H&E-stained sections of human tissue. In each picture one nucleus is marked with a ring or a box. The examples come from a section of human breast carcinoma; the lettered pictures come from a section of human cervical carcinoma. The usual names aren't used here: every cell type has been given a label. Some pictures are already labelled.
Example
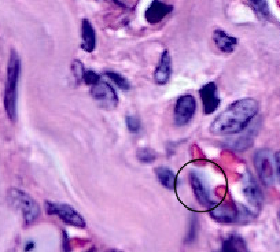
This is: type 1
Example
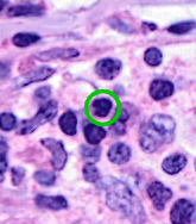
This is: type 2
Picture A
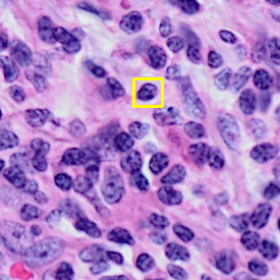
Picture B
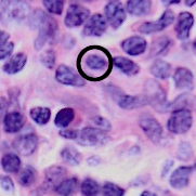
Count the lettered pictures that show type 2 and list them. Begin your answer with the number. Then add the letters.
2: A, B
